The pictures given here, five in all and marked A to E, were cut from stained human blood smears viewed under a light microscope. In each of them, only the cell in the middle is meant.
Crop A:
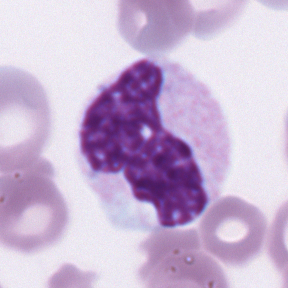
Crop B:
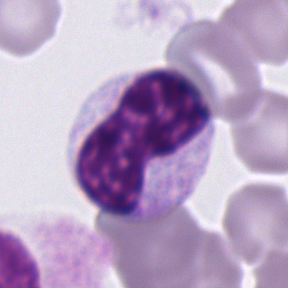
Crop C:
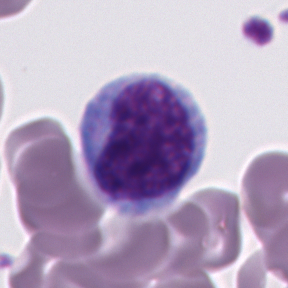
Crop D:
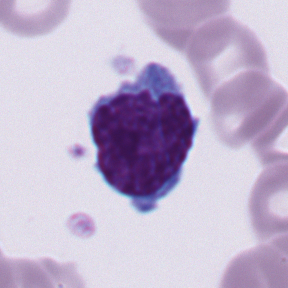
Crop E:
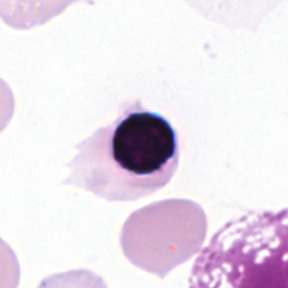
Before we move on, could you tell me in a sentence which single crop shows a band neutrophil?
That would be crop B; it shows a band neutrophil.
